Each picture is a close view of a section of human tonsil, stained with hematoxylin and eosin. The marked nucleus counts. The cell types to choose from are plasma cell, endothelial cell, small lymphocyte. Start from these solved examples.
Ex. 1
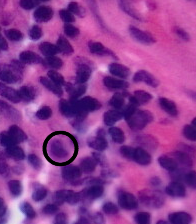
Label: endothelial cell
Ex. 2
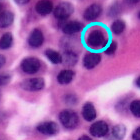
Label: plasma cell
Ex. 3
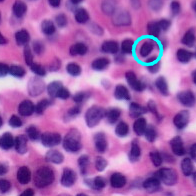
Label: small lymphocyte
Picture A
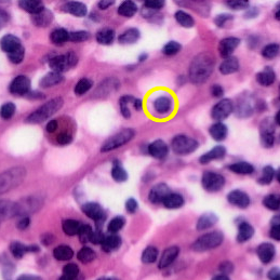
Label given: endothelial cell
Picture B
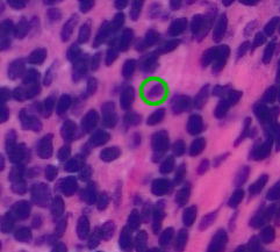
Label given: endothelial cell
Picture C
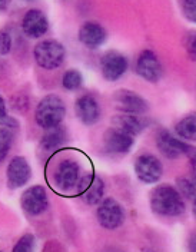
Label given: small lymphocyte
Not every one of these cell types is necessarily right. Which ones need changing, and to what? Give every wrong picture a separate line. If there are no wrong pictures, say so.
Wrong: C (small lymphocyte); correct: plasma cell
